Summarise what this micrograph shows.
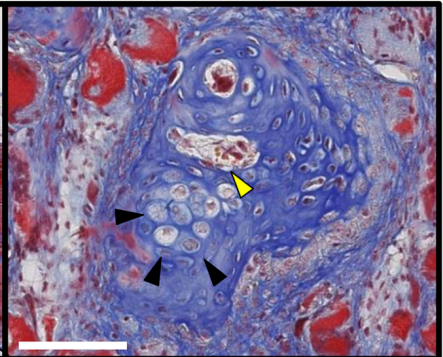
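The nodule is made of a dense blue-staining matrix in which large rounded cells with pale, swollen cytoplasm sit in lacunae, clustered toward its lower left. Within the nodule lie small lumens filled with packed red-orange erythrocytes. Around the nodule is loose fibrous tissue with scattered small nuclei, stained blue and pinkish. Bright red fragments of muscle fibres lie at the edges of the field, separated from one another by this fibrous tissue.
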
